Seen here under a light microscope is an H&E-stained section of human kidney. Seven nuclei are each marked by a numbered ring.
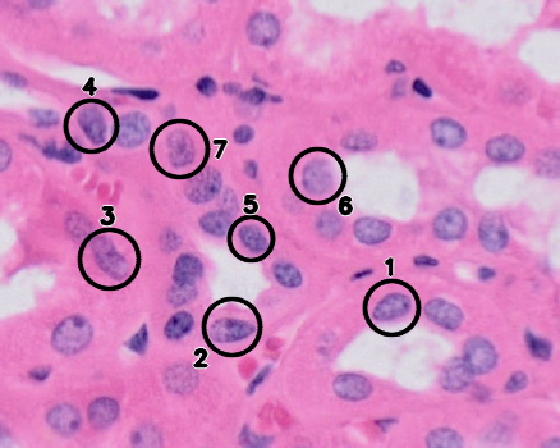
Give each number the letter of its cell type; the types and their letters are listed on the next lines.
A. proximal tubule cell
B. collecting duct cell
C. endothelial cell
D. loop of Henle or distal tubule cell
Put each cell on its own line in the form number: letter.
1: D
2: B
3: A
4: B
5: B
6: D
7: B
